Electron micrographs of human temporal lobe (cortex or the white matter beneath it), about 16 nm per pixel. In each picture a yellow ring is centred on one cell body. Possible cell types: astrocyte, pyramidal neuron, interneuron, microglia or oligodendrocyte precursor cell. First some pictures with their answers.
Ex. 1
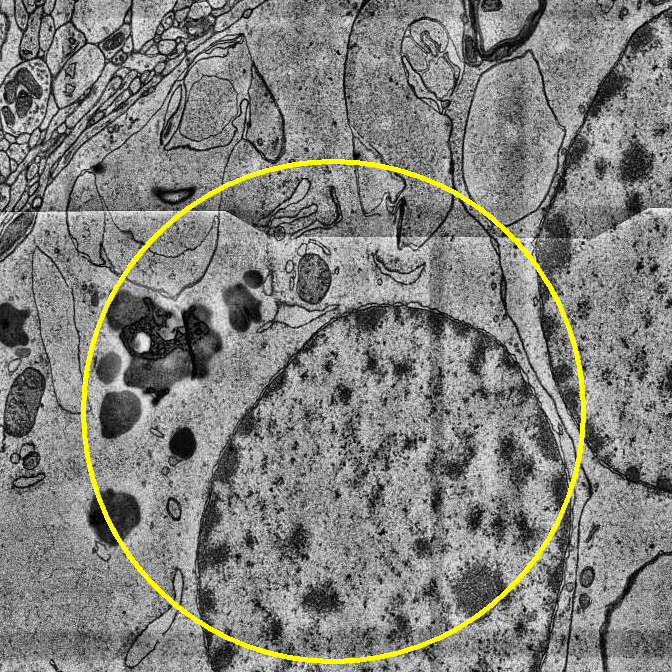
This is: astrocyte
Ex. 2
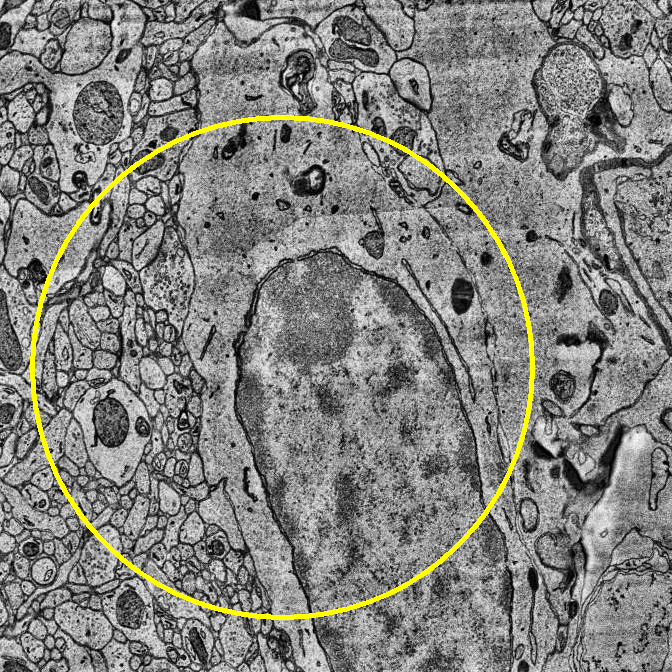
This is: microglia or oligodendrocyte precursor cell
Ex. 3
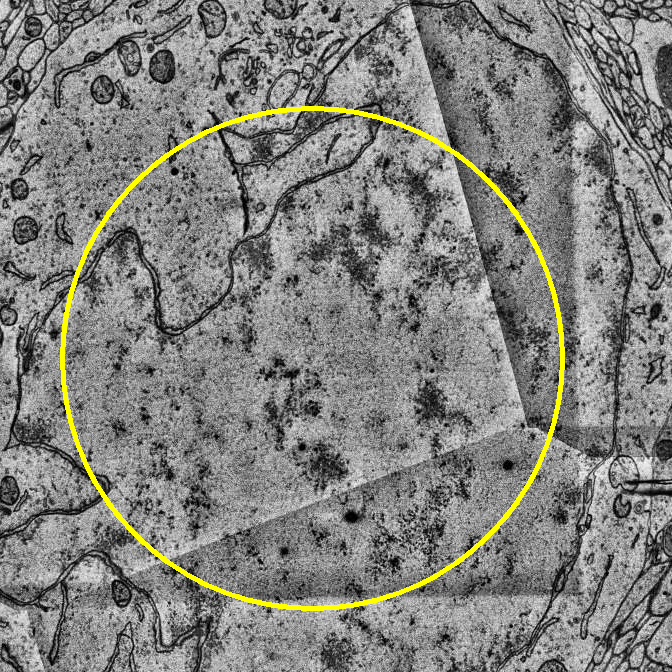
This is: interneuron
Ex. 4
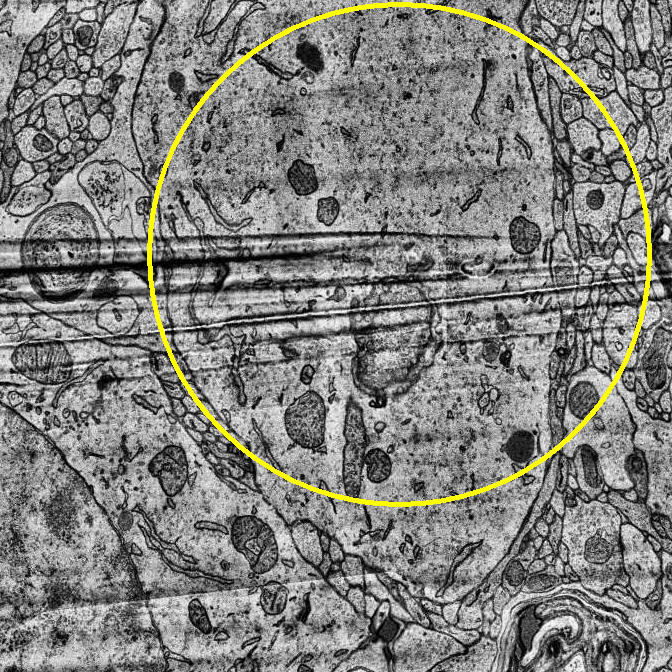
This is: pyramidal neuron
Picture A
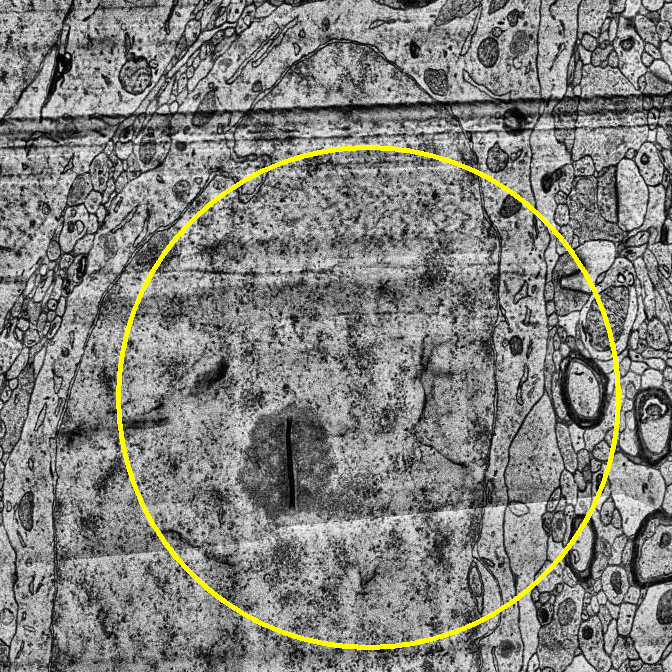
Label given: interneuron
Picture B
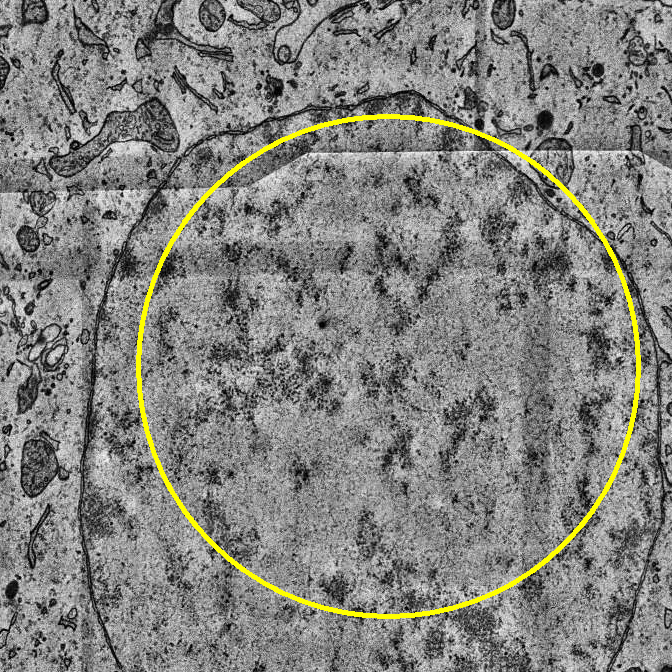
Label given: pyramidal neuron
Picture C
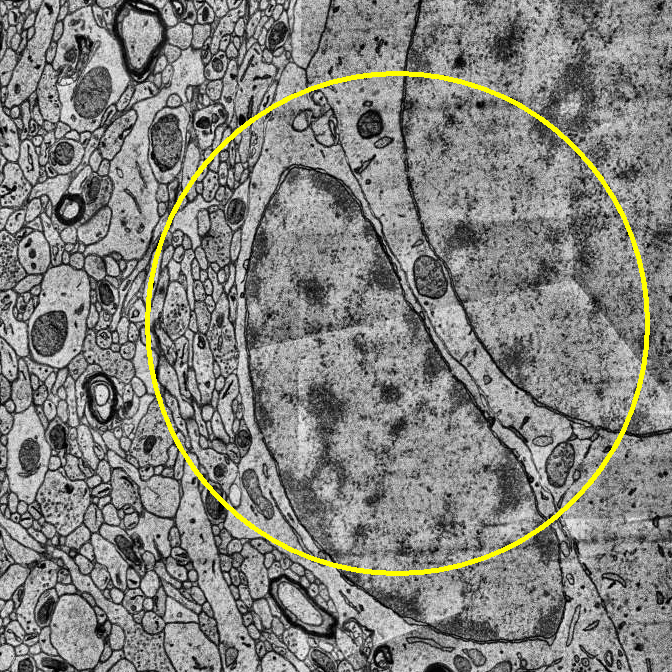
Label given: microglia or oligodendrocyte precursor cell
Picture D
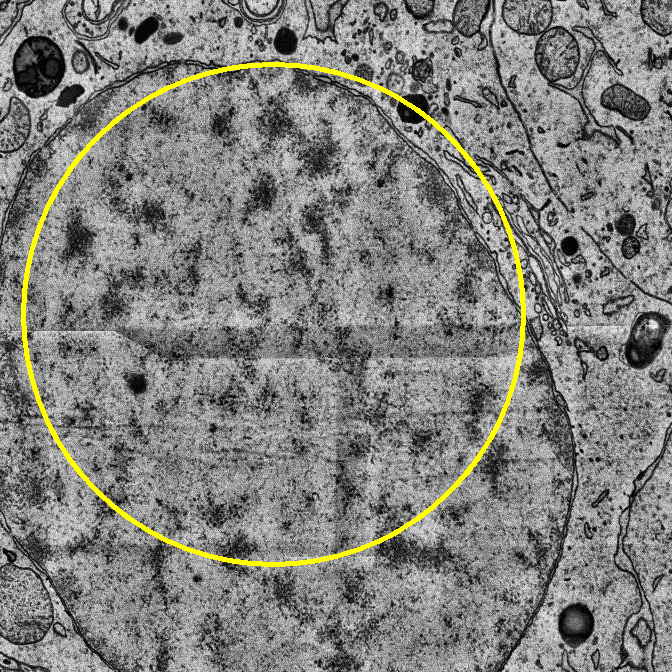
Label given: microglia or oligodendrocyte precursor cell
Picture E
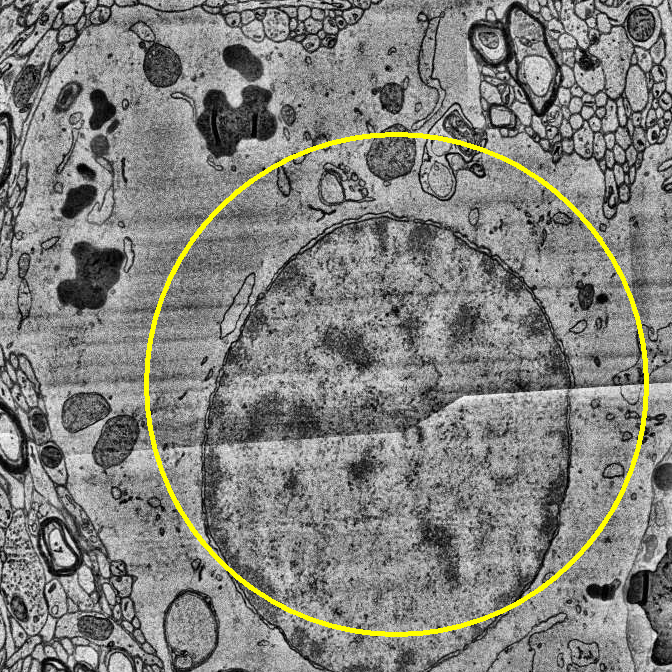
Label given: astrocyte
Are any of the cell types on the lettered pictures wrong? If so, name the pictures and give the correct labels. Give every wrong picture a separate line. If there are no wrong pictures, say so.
D: interneuron, not microglia or oligodendrocyte precursor cell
